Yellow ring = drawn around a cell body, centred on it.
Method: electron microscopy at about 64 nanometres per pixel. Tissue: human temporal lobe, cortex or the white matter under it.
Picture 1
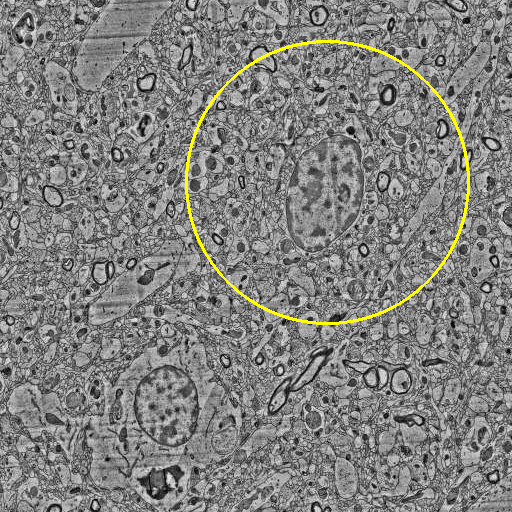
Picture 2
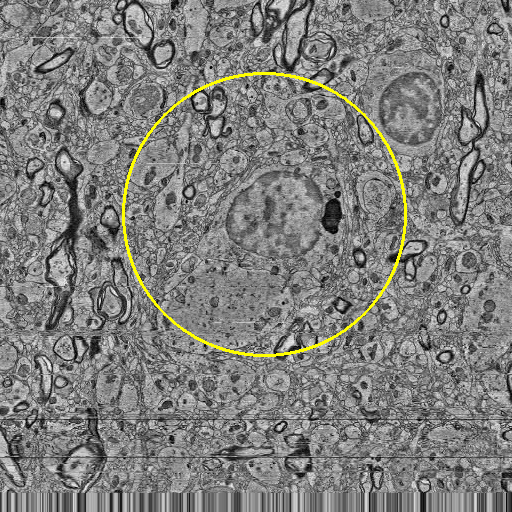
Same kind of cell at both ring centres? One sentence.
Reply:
No, they are two kinds of cell.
